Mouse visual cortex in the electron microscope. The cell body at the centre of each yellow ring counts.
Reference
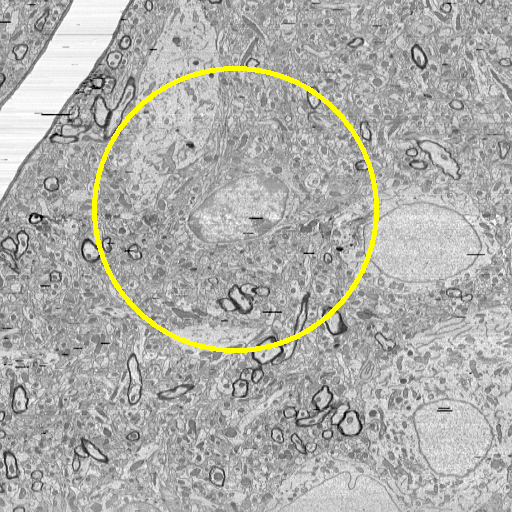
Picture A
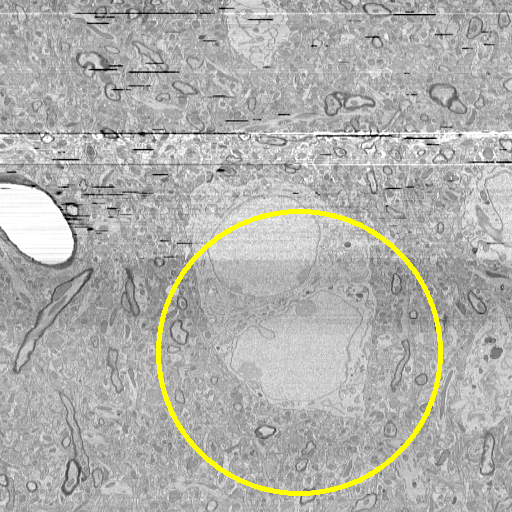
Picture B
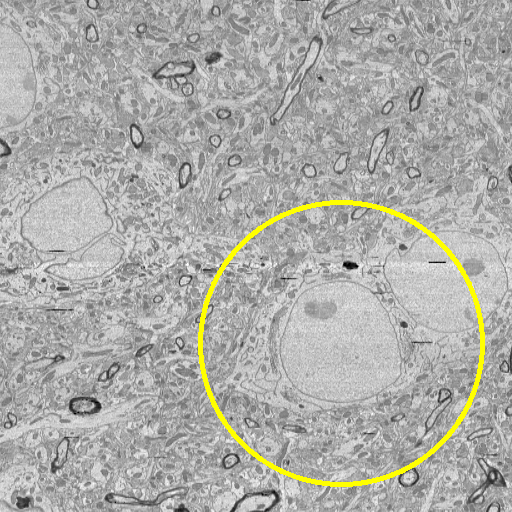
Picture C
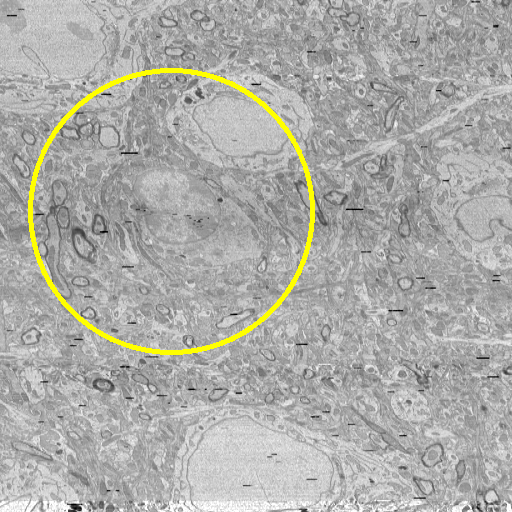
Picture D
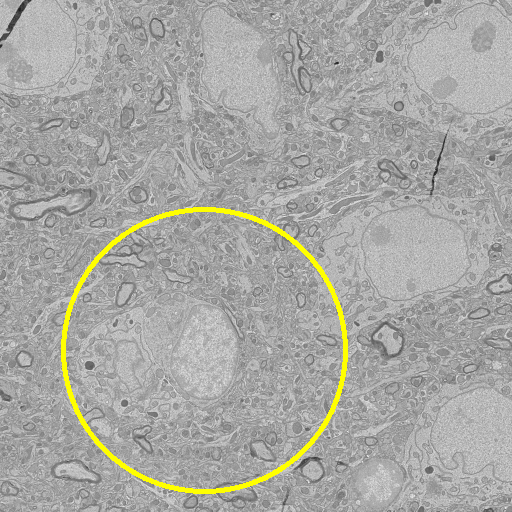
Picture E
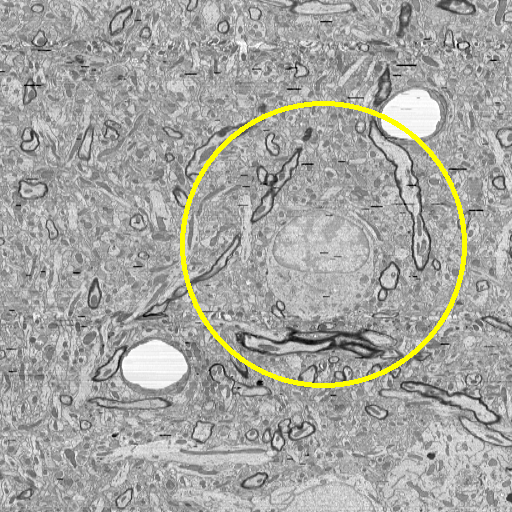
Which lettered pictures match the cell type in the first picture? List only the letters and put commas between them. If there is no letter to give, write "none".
C, D, E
